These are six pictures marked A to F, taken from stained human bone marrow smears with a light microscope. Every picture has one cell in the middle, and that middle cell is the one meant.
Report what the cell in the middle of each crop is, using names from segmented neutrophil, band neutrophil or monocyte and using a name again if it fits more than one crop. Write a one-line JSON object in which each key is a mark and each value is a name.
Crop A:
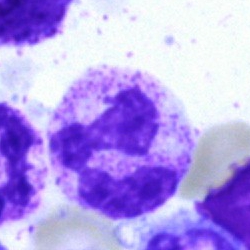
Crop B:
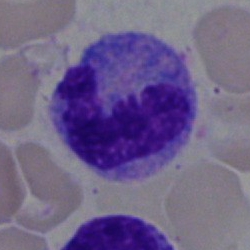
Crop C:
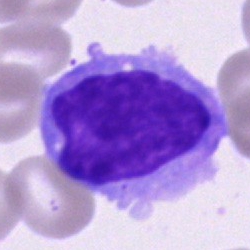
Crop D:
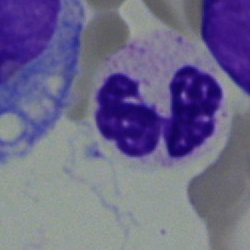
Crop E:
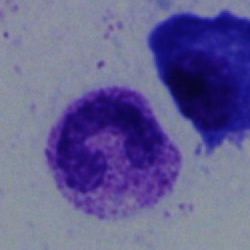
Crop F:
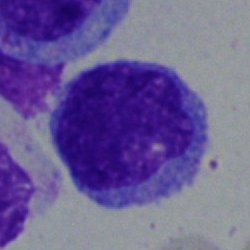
{"A": "segmented neutrophil", "B": "monocyte", "C": "monocyte", "D": "segmented neutrophil", "E": "band neutrophil", "F": "monocyte"}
